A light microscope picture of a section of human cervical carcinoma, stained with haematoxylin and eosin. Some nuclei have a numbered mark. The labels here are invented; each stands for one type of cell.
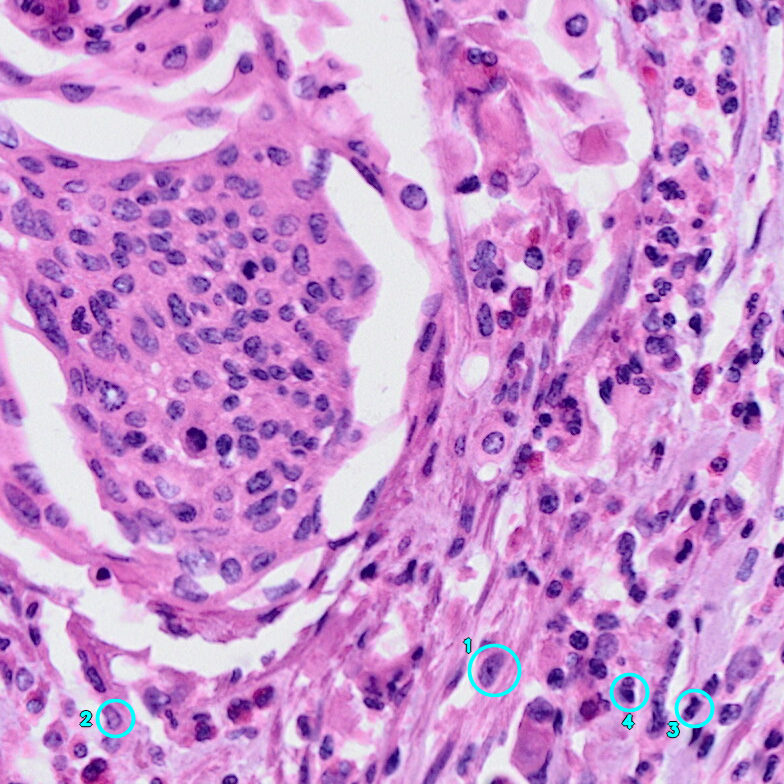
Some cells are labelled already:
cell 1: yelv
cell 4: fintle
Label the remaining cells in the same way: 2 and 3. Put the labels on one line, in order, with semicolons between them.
yelv; fintle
